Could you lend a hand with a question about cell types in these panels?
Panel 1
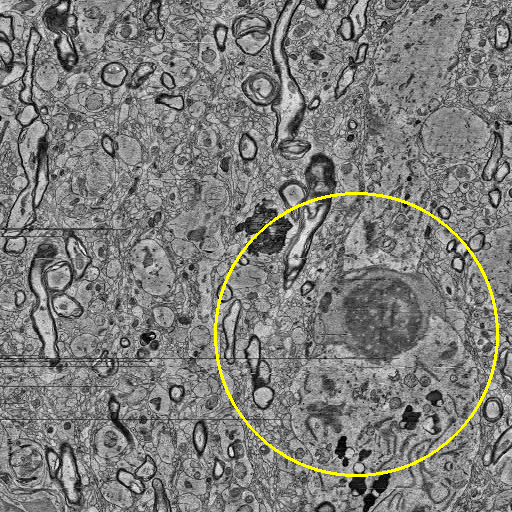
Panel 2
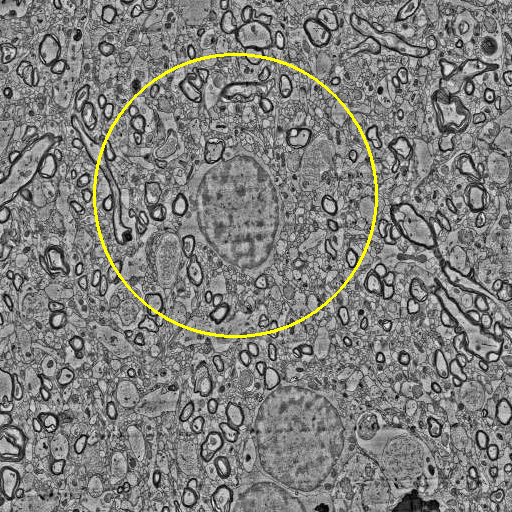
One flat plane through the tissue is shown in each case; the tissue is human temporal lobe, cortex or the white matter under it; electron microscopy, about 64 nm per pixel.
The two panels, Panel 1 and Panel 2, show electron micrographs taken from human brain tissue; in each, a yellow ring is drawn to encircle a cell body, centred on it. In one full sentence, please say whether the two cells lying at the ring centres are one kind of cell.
Yes, the cells at the ring centres in the two panels are one kind of cell.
